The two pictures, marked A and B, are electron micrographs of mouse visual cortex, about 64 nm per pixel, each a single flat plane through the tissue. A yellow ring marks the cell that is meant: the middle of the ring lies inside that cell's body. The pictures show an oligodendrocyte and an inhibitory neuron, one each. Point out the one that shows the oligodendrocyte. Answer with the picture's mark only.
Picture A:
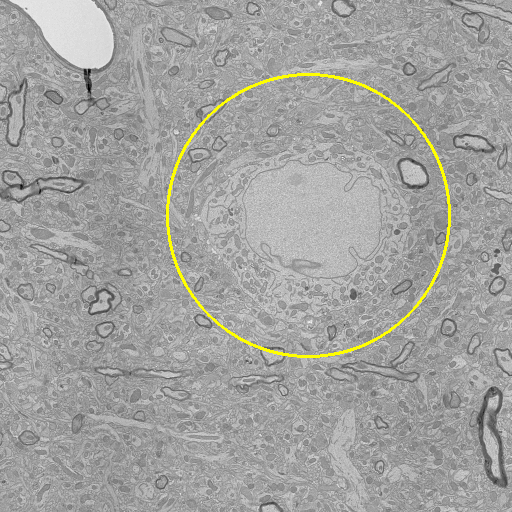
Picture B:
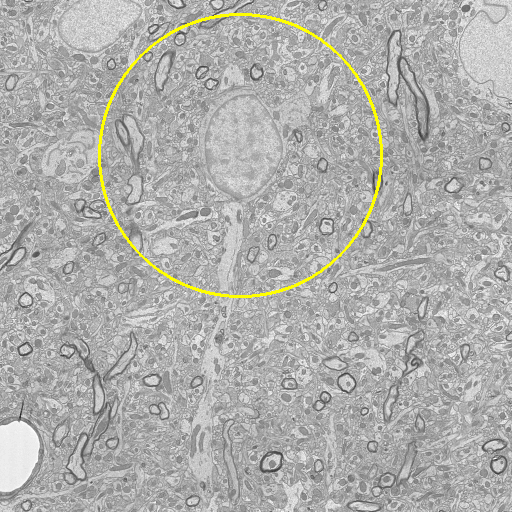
B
